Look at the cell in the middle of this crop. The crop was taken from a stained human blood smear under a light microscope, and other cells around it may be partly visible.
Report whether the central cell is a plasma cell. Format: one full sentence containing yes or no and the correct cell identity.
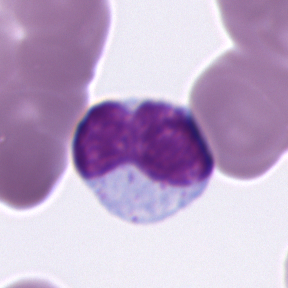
No, the cell placed at the center is a large granular lymphocyte rather than a plasma cell.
